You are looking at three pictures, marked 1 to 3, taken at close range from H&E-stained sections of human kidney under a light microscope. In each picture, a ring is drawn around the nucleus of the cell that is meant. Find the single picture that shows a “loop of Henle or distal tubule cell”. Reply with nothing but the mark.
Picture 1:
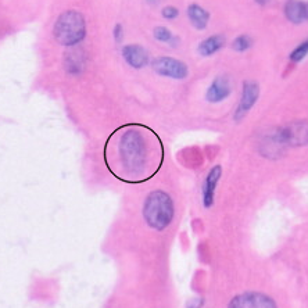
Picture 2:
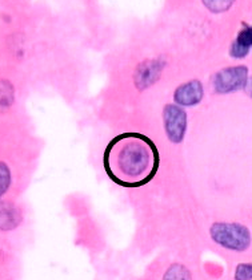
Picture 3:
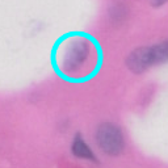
3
